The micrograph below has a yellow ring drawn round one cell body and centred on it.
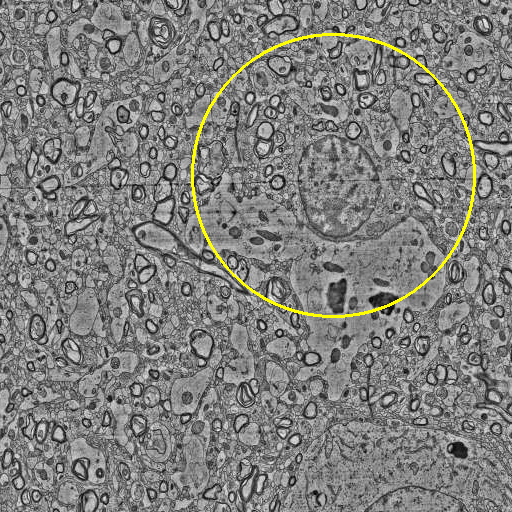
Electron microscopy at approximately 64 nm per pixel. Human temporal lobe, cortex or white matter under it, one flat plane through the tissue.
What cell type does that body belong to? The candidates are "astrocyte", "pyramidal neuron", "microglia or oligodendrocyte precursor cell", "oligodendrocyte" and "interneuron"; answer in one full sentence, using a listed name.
This is an oligodendrocyte, the cell whose body lies at the centre of the ring.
